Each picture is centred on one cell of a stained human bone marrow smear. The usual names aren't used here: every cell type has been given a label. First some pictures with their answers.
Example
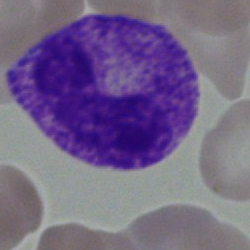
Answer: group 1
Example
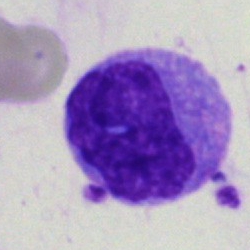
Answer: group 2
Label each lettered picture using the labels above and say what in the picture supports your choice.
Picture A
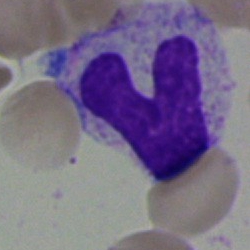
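group 1. The cytoplasm is plentiful and pale pinkish-lilac.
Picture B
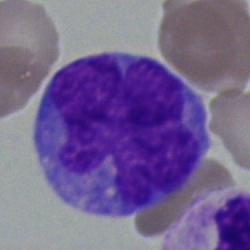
group 2. The nucleus fills most of the cell.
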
